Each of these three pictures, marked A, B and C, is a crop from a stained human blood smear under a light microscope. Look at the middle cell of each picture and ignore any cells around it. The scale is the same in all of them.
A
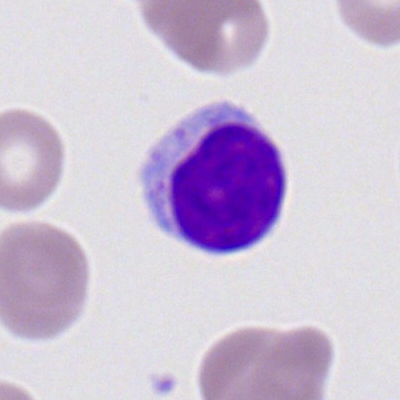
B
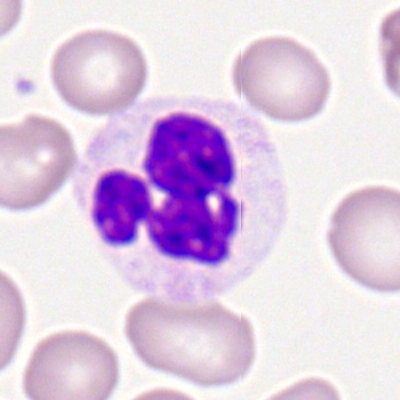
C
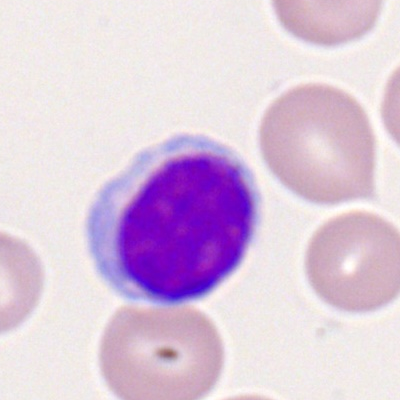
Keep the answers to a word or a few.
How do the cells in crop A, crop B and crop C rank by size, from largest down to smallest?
B, C, A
